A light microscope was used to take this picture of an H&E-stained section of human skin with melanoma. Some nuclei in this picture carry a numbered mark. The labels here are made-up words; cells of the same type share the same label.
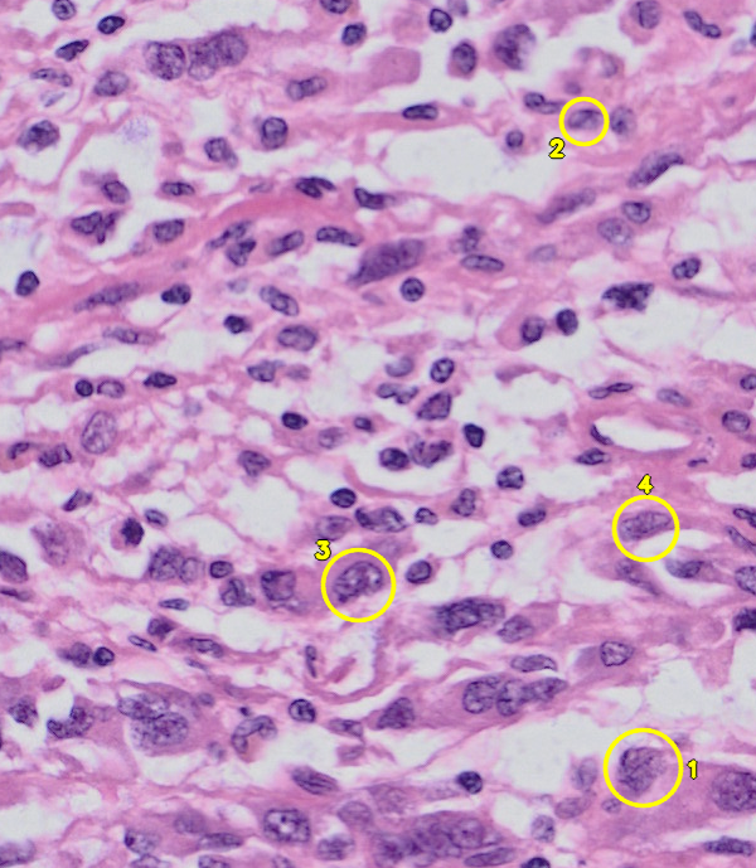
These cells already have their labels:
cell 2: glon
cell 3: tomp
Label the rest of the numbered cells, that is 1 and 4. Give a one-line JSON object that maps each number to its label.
{"1": "tomp", "4": "tomp"}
